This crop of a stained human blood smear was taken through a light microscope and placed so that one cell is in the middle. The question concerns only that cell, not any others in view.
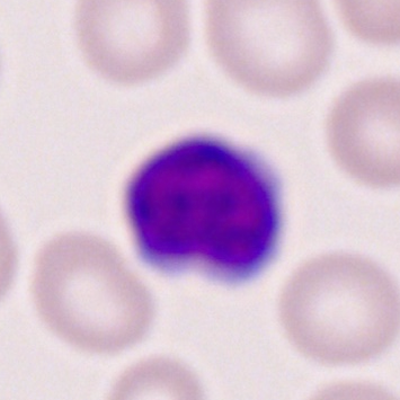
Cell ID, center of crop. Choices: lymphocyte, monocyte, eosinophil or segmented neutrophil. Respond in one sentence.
In the middle of this smear crop is a lymphocyte.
